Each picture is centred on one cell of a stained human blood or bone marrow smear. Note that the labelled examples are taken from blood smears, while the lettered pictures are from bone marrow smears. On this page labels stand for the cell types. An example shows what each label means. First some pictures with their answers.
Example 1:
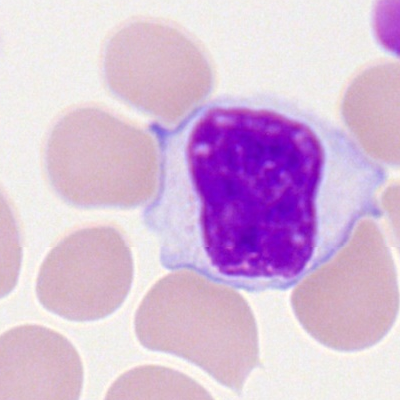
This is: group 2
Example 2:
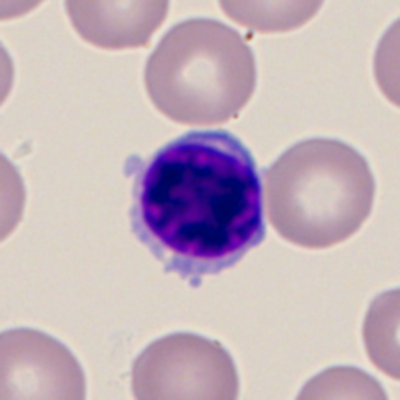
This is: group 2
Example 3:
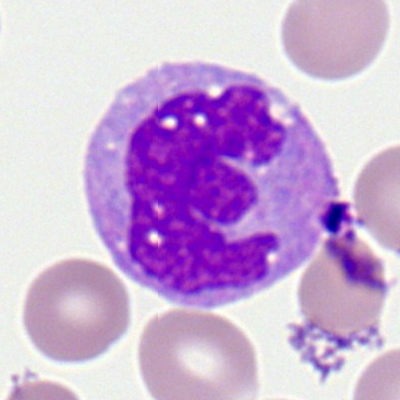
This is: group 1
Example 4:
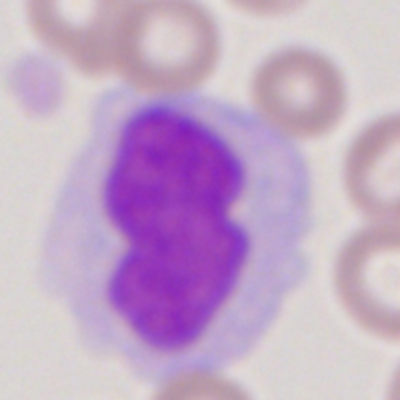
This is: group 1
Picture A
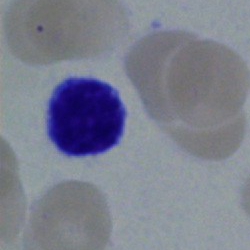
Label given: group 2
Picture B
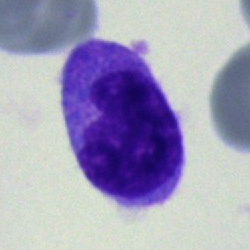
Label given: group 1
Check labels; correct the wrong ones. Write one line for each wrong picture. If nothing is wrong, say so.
All correct.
